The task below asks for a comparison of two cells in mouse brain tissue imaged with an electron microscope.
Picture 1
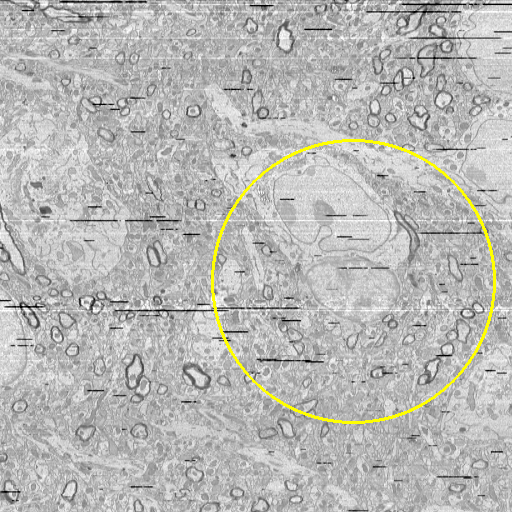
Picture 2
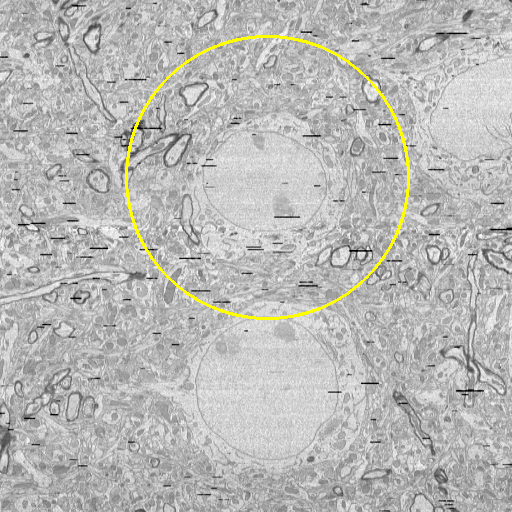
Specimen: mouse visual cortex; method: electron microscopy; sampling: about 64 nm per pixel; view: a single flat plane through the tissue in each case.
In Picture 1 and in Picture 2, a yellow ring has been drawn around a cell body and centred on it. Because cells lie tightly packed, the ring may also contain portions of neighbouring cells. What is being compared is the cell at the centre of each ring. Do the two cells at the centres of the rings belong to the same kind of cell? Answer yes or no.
no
